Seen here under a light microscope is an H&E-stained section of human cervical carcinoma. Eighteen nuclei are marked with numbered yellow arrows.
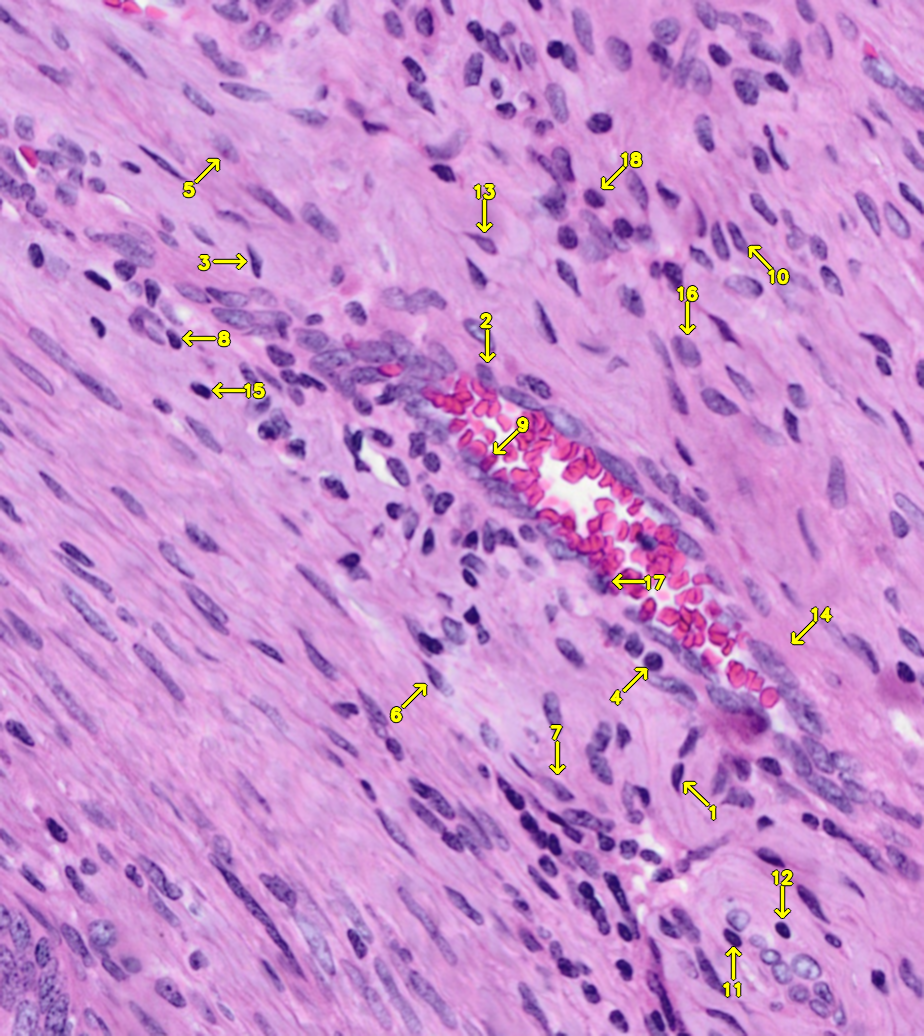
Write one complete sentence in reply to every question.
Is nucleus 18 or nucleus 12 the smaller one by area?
With nucleus 18 about 1.5 times its size, nucleus 12 is the smaller of the two.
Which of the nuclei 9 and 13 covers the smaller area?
The smaller nucleus is 13, and 9 covers roughly 2.5 times its area.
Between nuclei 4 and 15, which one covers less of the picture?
Number 15 is smaller, since number 4 takes up about 1.5 times as much area.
